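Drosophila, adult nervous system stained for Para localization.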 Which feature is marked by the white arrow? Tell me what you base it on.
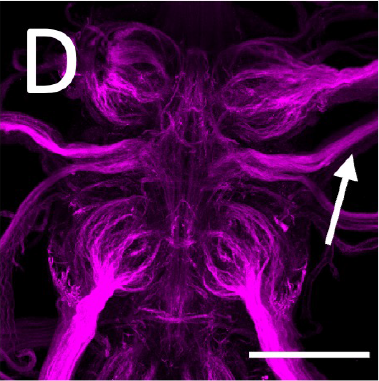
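Thick bundles of fibres enter the central neuromeres from the sides. The arrow points at one such bundle running outward. That points to this answer: peripheral nerves.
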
